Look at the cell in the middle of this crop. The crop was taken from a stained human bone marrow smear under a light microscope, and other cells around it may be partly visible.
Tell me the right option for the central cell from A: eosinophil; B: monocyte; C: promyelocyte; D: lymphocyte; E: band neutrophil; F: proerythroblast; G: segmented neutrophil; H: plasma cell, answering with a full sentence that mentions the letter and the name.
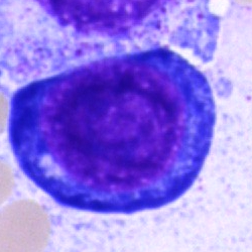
Since the middle cell is a proerythroblast, option F is the right one.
